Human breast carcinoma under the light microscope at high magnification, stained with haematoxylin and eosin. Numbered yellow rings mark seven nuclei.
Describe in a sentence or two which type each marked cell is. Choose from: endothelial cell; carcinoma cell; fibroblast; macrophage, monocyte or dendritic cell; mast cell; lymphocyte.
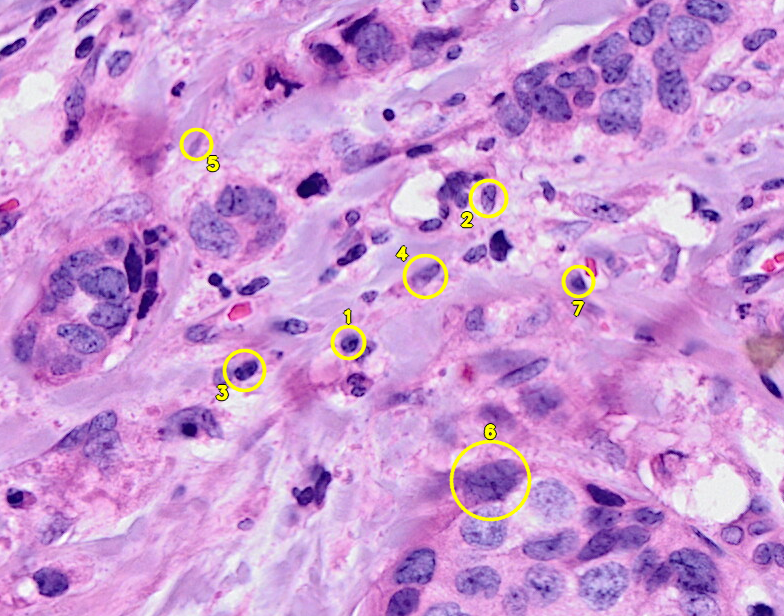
Cell 1 is a lymphocyte, cell 2 is a mast cell, cell 3 is a lymphocyte, cell 4 is a fibroblast, cell 5 is a fibroblast, cell 6 is a carcinoma cell and cell 7 is an endothelial cell.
